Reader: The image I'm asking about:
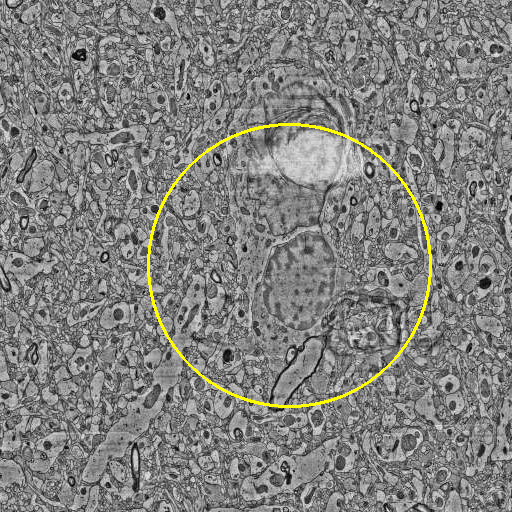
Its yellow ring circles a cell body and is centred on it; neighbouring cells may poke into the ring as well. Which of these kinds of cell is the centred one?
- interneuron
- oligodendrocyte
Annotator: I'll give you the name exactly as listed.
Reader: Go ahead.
oligodendrocyte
